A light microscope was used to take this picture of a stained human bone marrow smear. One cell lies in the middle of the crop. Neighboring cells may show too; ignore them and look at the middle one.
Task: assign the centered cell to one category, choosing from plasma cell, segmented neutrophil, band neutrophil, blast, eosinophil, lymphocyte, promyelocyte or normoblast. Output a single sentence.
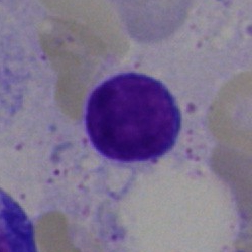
Where the crop is centred, there is a lymphocyte.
